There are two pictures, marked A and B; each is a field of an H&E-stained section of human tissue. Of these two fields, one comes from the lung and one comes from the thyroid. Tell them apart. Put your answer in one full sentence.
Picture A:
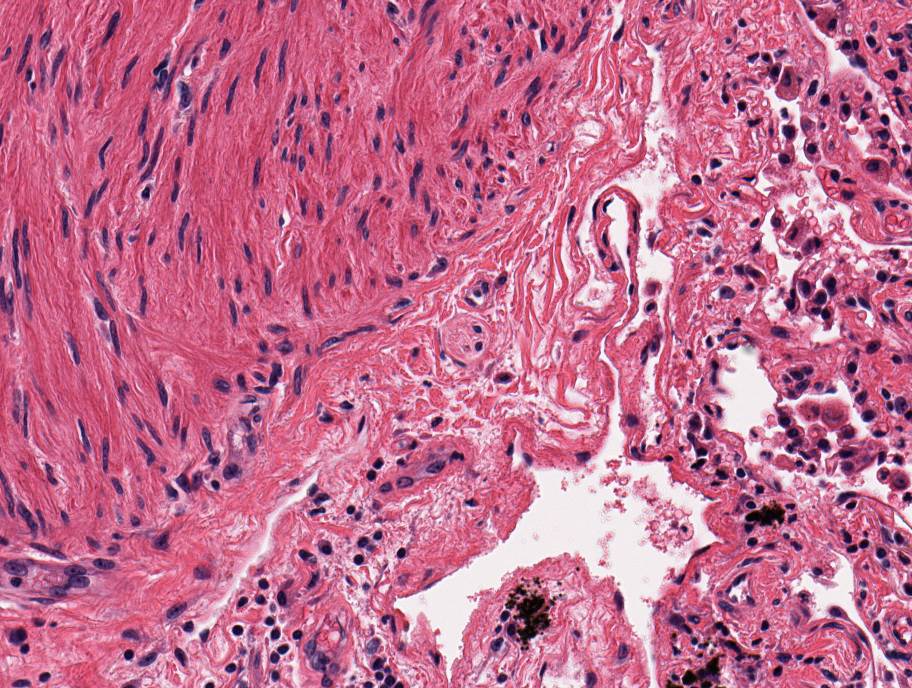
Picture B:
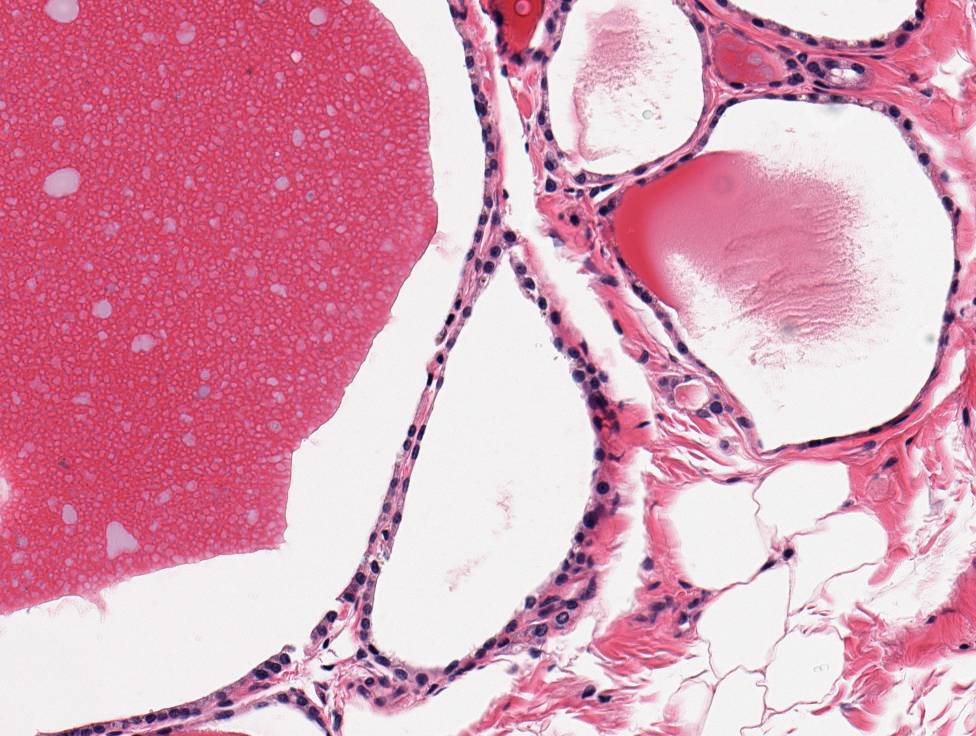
Picture A comes from the lung and picture B comes from the thyroid.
